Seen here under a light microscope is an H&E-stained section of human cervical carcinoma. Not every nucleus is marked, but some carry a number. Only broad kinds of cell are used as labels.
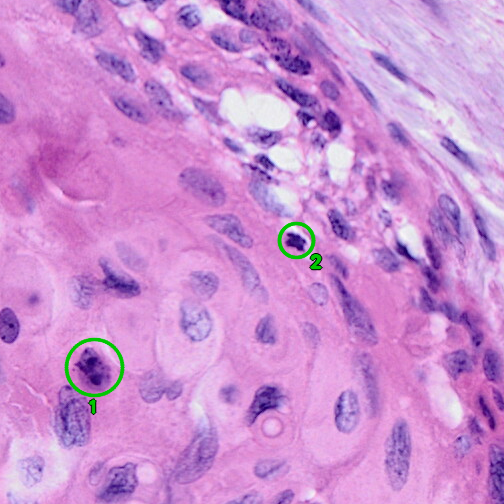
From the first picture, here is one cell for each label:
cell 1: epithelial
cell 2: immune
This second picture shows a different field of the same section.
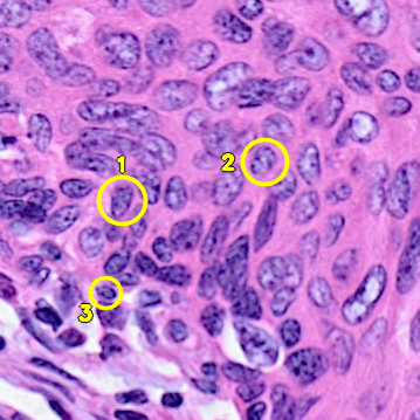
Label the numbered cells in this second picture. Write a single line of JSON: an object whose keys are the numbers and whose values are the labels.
{"1": "epithelial", "2": "epithelial", "3": "immune"}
